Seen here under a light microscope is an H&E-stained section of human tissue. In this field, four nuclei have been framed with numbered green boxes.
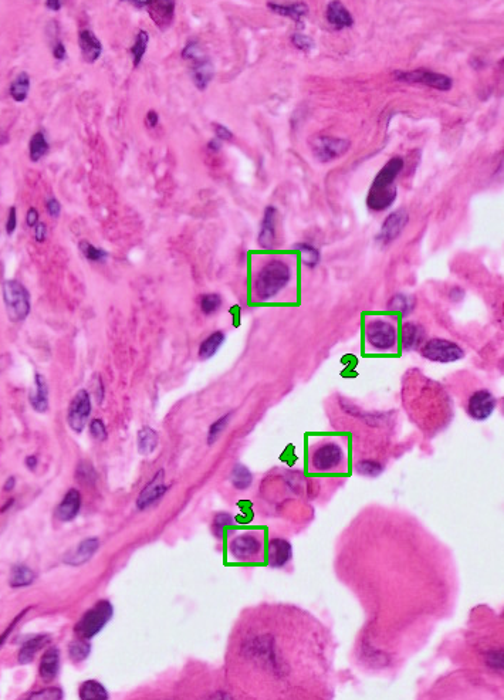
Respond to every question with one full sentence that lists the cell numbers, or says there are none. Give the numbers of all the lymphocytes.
The cells whose numbers are 2, 3 and 4 are lymphocytes.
